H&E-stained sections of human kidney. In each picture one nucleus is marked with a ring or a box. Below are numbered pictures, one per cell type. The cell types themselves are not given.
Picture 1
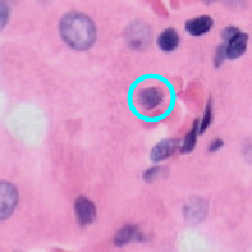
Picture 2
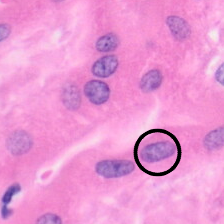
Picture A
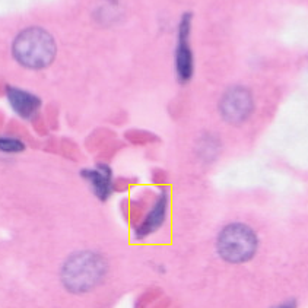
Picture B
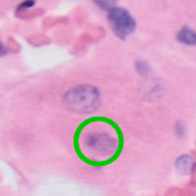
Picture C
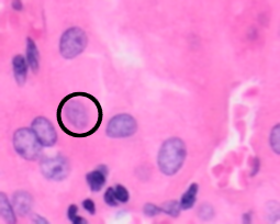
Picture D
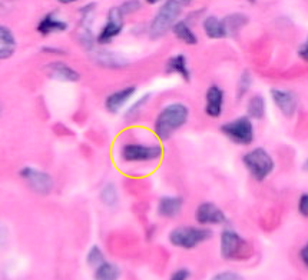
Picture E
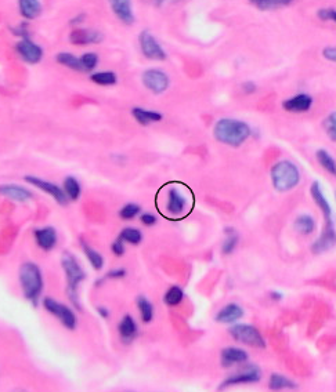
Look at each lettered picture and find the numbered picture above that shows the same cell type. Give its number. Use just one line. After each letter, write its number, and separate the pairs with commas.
A 1, B 2, C 2, D 1, E 1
